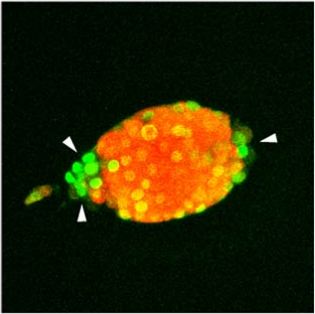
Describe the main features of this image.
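Round green cells are scattered over the surface, but at the left pointed end a tight group of bright green round cells bulges out, marked by arrowheads, and another arrowhead marks the right end. The cells are rounded and closely packed, with little space between them.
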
